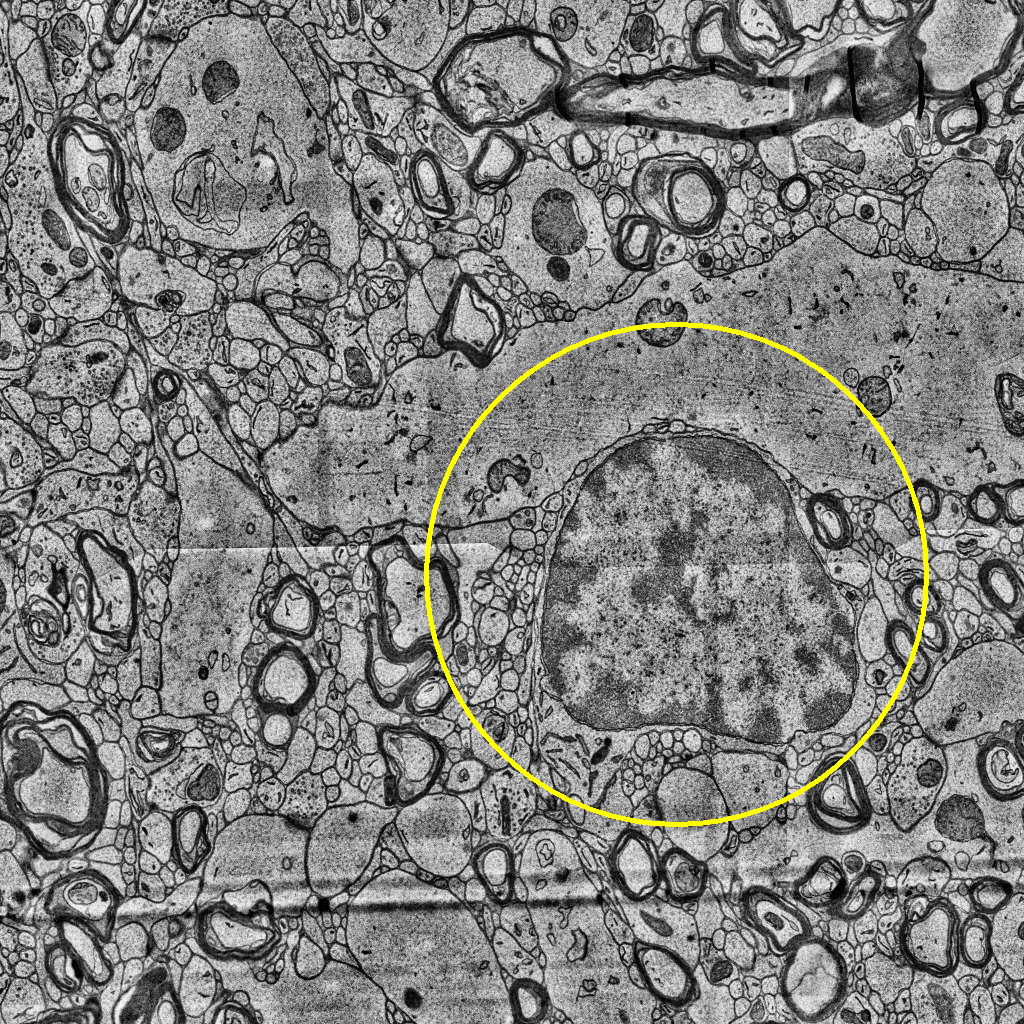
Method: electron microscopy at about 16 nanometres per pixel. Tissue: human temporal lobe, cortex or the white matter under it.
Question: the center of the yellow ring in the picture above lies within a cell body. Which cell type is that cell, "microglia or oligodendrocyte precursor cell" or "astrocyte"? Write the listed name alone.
microglia or oligodendrocyte precursor cell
